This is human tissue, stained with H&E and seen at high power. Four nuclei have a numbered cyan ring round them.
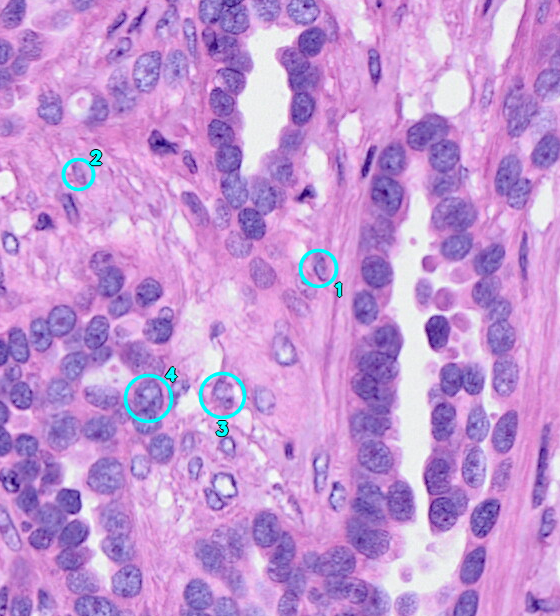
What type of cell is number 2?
fibroblast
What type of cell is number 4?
carcinoma cell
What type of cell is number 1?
fibroblast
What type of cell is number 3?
fibroblast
